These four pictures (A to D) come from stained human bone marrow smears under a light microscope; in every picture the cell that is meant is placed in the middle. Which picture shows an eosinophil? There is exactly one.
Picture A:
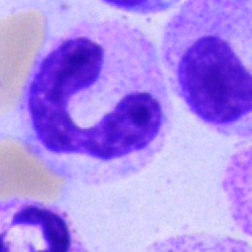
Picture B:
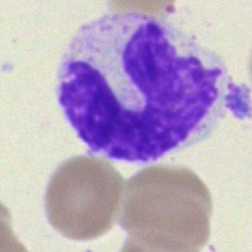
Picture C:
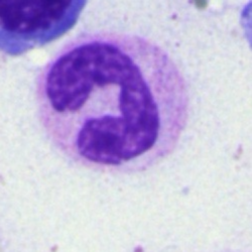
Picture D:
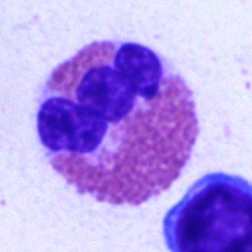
D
